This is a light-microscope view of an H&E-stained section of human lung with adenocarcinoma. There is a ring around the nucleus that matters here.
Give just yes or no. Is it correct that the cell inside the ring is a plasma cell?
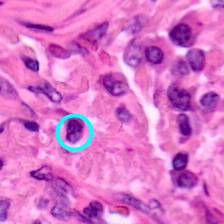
yes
